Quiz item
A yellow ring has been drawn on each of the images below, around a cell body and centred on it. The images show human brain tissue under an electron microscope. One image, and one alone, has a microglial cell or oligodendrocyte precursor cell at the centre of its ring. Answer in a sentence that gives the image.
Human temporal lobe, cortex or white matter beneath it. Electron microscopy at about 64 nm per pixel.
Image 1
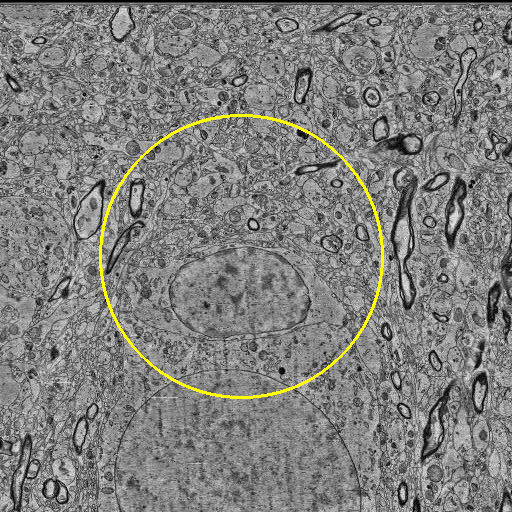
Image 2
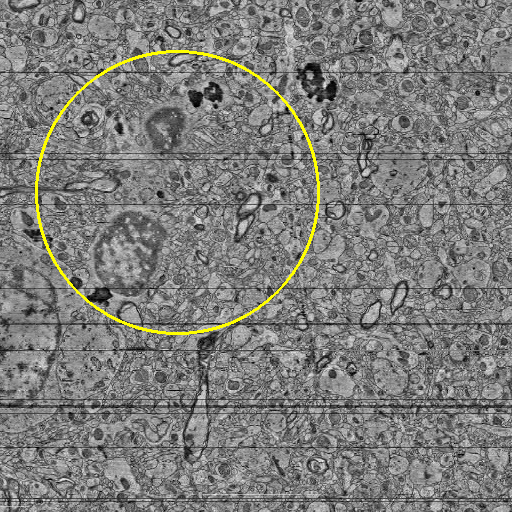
Image 1 shows it at the centre of the ring.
